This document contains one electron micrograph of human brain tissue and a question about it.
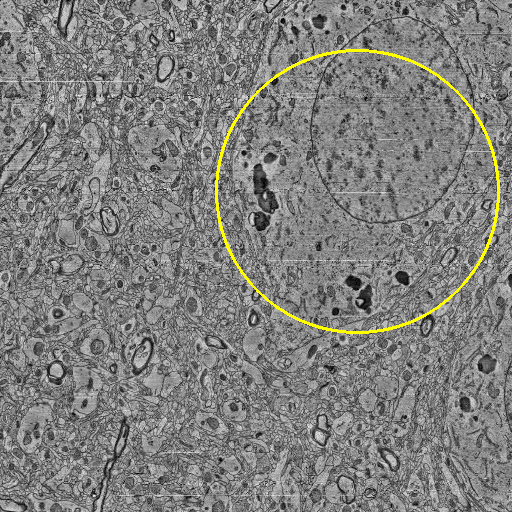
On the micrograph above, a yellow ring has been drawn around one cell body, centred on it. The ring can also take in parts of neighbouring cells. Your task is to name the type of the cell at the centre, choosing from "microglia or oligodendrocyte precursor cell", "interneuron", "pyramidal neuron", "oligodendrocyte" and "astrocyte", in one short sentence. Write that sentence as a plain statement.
Here the ring is centred on a pyramidal neuron.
